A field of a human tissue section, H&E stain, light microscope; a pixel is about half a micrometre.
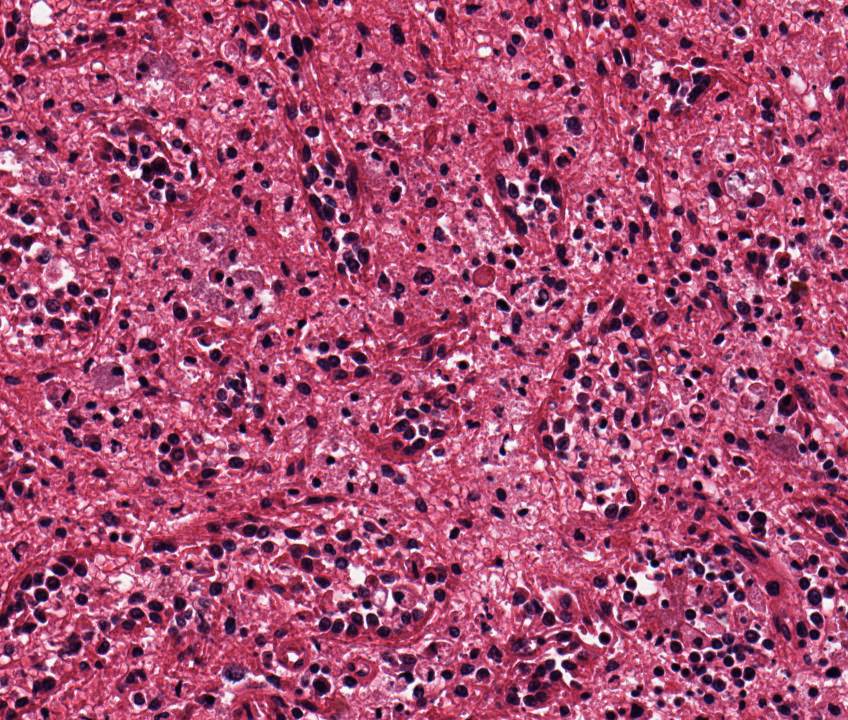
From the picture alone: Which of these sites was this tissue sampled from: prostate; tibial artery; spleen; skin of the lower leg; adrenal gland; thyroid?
spleen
